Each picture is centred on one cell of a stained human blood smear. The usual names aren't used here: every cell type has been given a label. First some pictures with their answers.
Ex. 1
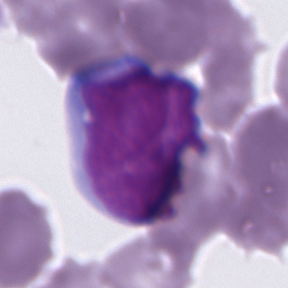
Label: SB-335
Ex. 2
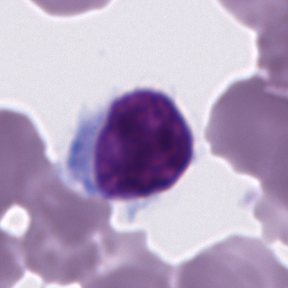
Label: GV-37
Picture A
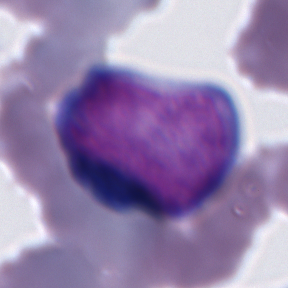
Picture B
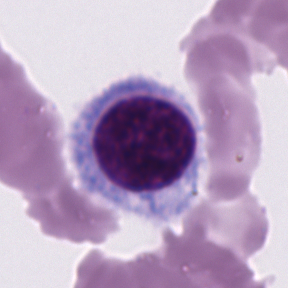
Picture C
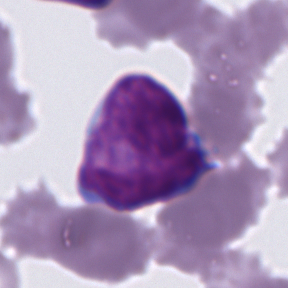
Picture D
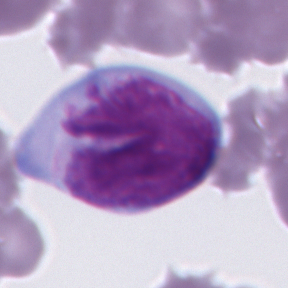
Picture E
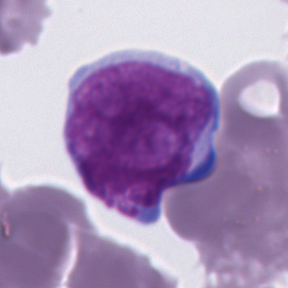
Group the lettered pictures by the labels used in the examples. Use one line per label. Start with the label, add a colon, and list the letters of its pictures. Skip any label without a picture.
SB-335: A, C, D, E
GV-37: B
